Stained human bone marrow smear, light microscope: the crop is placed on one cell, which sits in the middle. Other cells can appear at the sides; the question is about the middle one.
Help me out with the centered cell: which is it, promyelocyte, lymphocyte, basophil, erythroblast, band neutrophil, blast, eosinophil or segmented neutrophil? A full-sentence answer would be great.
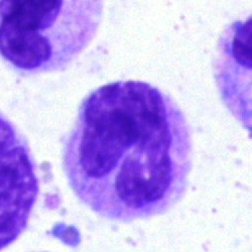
Among the cells in view, the one in the middle is a segmented neutrophil.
